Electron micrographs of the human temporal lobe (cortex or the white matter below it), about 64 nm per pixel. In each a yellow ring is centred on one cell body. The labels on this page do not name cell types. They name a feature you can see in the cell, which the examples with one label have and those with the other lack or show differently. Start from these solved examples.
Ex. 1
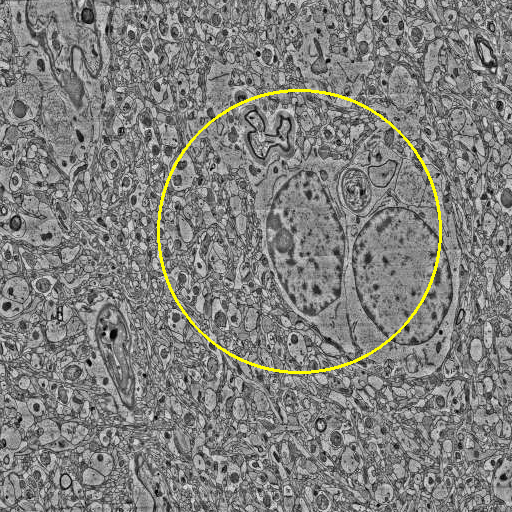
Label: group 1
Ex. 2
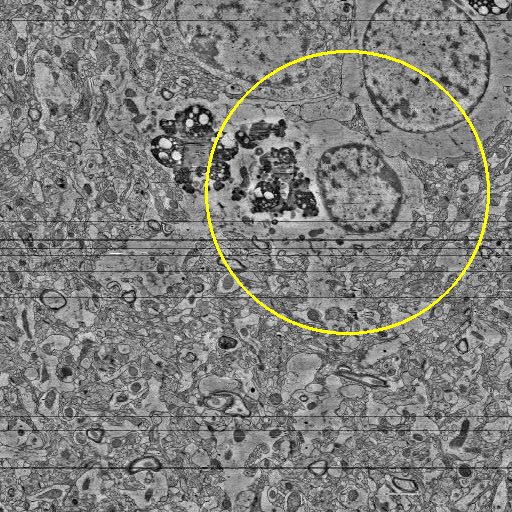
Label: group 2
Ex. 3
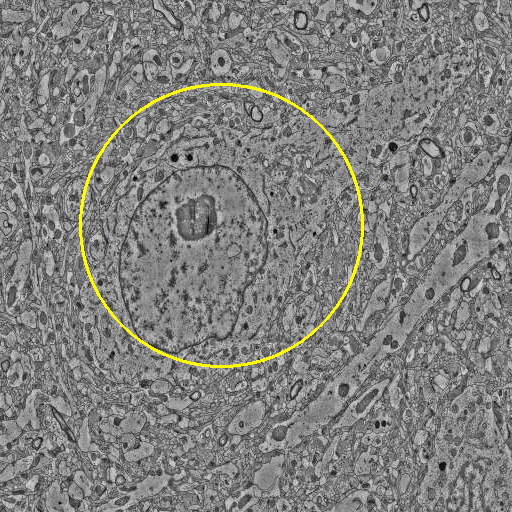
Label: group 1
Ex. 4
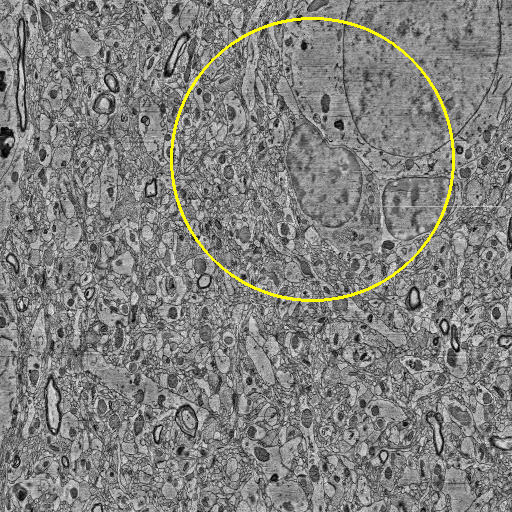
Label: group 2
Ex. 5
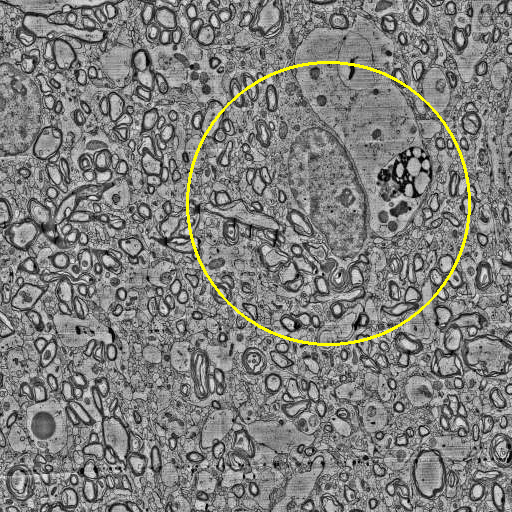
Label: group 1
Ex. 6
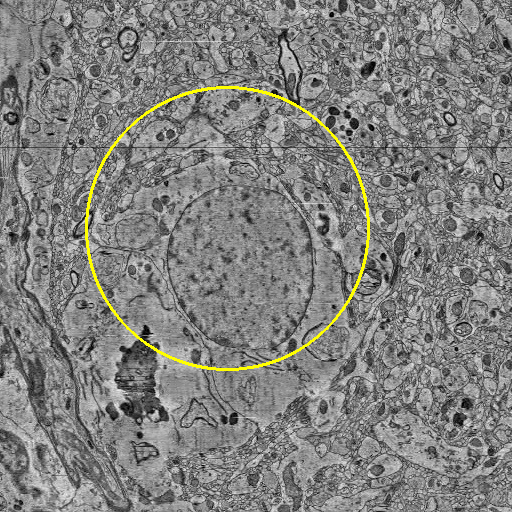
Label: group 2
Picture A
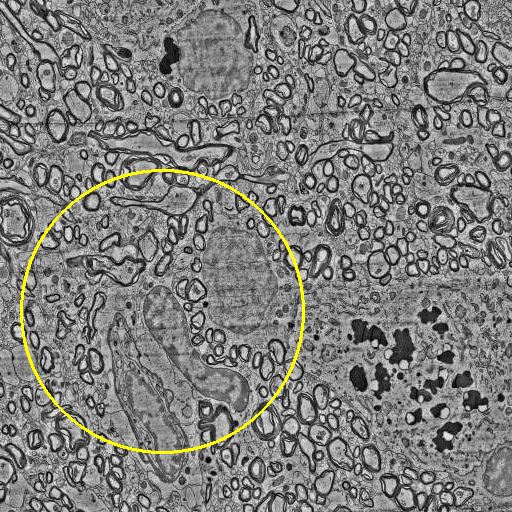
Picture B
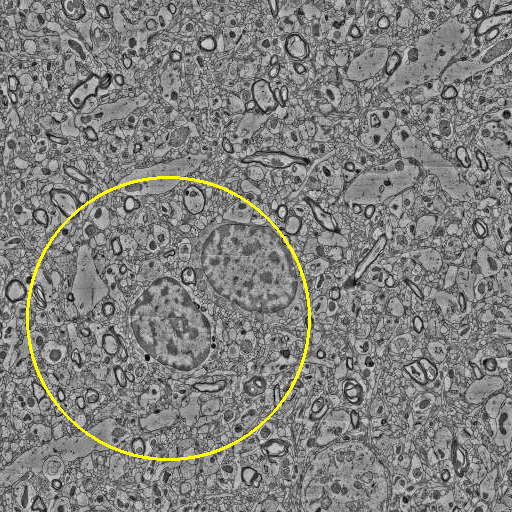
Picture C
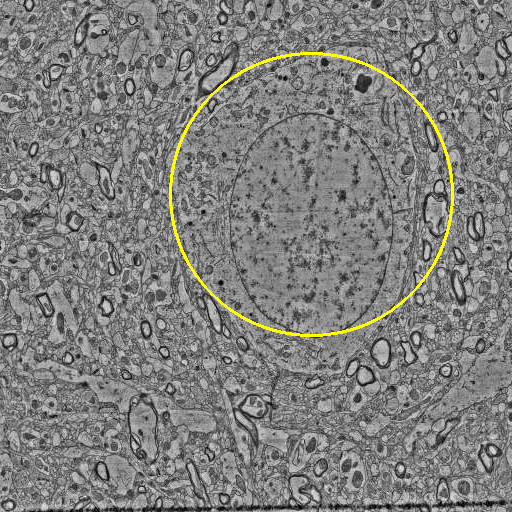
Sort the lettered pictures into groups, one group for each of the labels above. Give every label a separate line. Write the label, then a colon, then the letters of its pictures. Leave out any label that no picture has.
group 2: A, B, C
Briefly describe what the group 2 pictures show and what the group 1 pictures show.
In group 2: no nucleolus seen. In group 1: nucleolus seen.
